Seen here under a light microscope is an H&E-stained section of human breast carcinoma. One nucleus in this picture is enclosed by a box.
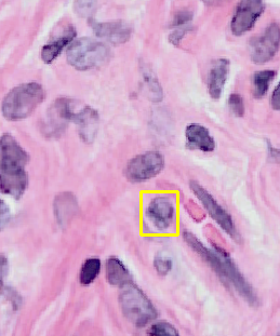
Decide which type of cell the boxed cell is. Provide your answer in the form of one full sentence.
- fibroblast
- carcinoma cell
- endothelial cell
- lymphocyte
On this particular slide, the boxed cell is an endothelial cell.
